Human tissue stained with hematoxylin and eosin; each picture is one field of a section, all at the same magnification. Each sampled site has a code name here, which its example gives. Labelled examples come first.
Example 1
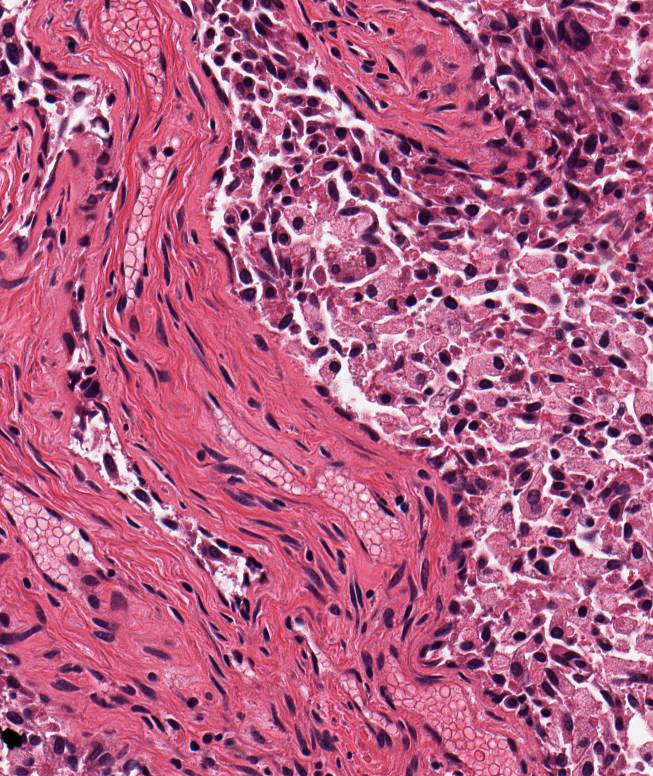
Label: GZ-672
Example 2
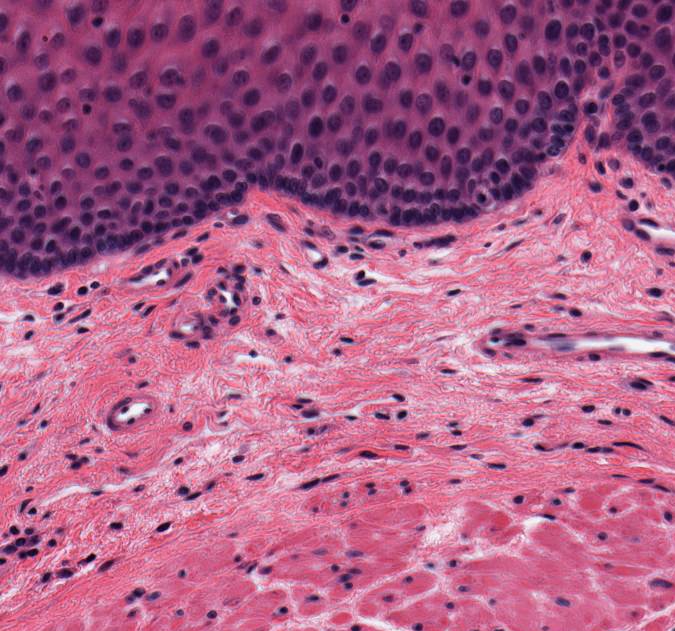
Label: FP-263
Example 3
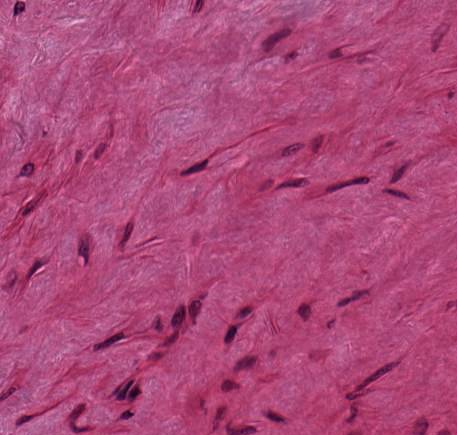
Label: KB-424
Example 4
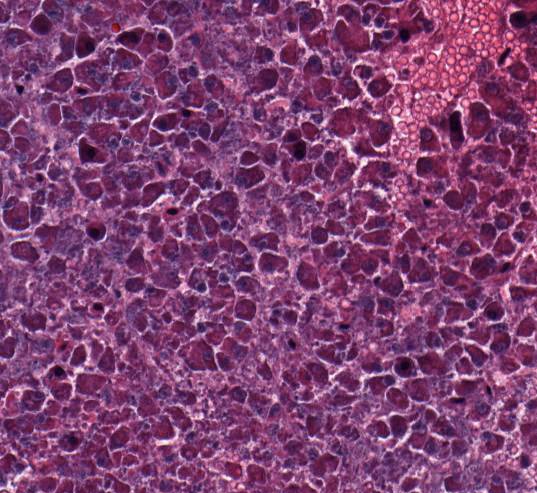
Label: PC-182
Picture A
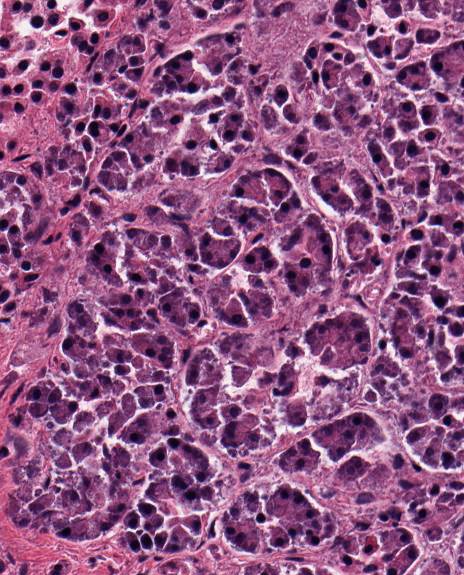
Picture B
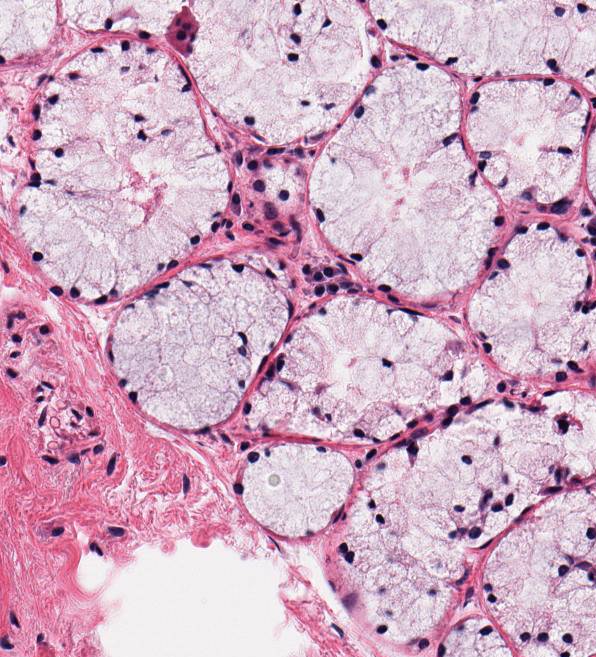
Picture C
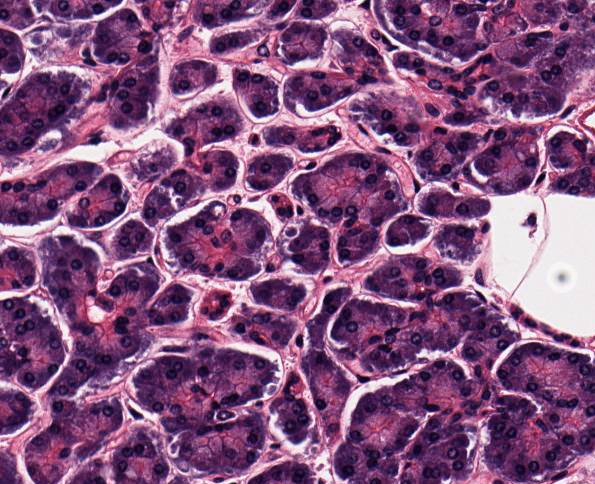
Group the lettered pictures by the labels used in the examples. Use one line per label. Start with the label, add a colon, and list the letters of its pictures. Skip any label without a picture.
FP-263: B
PC-182: A, C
